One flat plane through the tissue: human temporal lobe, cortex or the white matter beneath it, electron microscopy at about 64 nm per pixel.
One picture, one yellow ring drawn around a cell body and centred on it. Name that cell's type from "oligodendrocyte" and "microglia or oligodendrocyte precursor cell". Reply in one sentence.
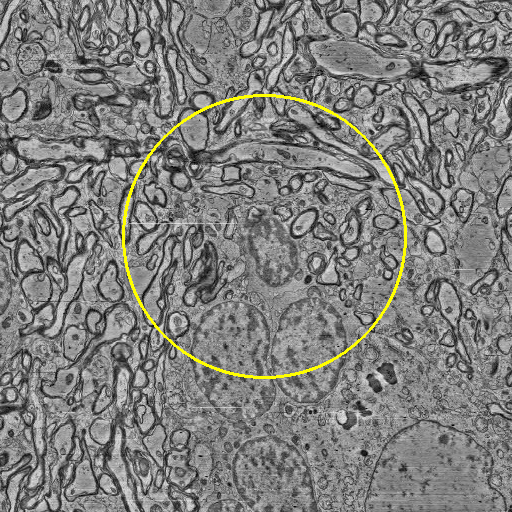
Centred in the ring is an oligodendrocyte.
